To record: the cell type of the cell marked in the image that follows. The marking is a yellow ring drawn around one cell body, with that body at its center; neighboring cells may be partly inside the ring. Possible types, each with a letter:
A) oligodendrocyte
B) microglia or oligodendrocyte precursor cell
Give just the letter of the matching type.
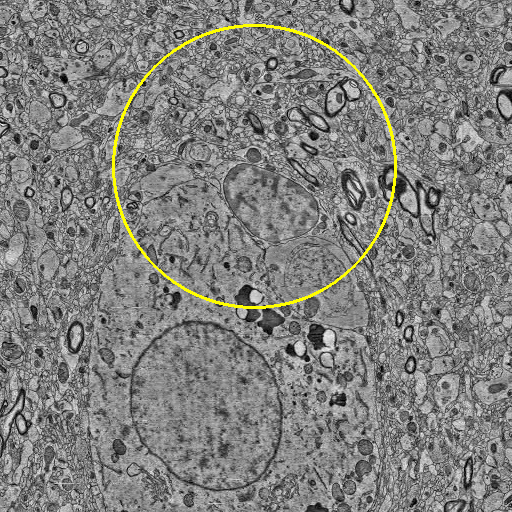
B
